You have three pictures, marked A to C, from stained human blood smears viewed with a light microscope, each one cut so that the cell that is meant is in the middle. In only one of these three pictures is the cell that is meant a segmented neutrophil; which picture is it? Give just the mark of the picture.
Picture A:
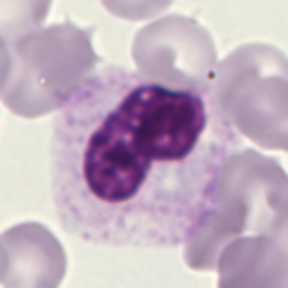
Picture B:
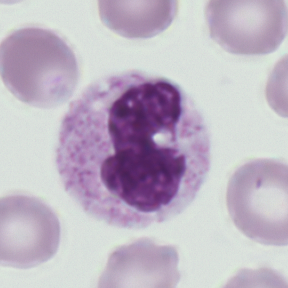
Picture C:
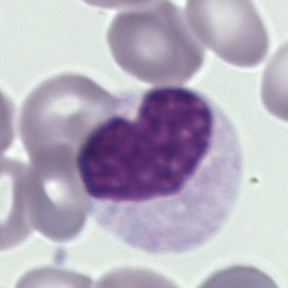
A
